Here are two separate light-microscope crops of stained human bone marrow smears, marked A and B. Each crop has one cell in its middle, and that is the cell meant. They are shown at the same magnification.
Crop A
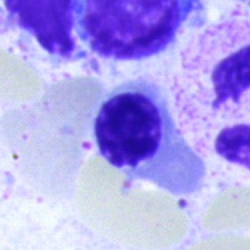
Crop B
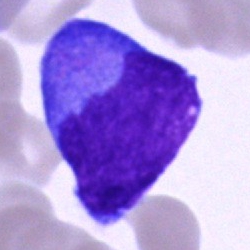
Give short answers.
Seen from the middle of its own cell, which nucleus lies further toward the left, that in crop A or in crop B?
A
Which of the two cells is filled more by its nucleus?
B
